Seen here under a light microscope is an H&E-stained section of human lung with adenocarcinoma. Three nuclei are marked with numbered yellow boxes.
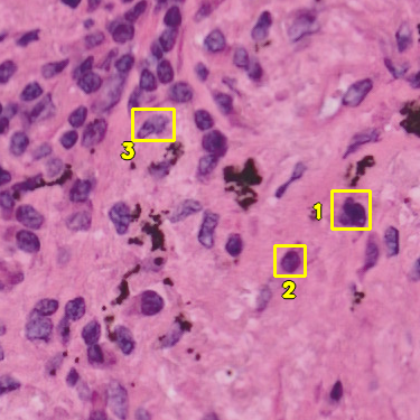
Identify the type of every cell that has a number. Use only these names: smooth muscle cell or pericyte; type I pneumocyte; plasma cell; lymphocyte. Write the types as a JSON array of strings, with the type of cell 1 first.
["plasma cell", "plasma cell", "lymphocyte"]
